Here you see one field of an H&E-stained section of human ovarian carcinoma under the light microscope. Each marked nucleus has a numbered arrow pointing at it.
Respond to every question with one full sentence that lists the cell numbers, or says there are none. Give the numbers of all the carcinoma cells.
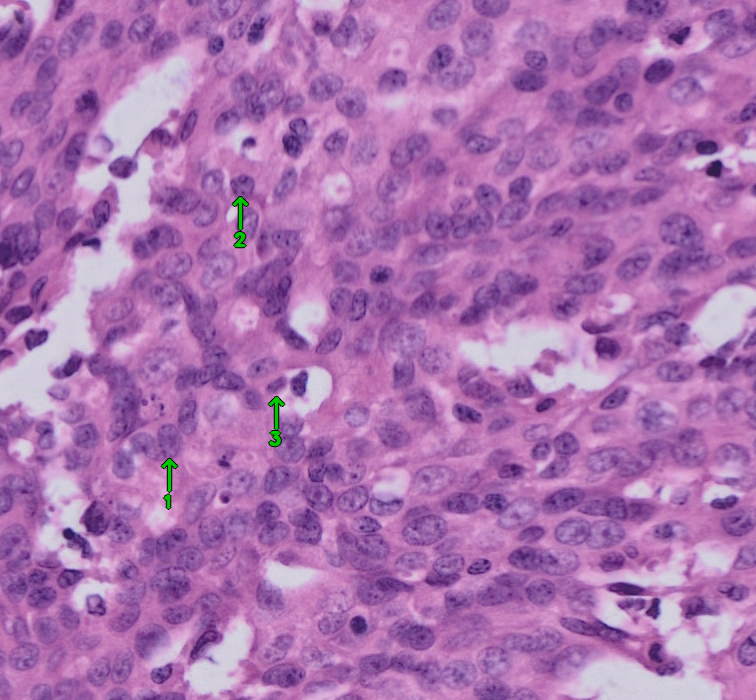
Of all the numbered cells, only one is a carcinoma cell, and that is cell 1.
